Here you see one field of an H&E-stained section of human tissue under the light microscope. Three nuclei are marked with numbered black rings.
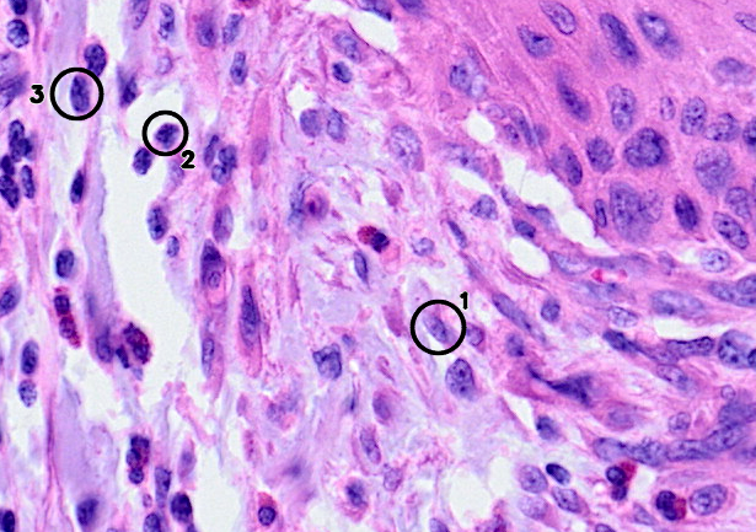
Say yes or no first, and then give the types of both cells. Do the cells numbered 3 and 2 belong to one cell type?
Yes, in terms of cell type, cells 3 and 2 are both lymphocytes.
